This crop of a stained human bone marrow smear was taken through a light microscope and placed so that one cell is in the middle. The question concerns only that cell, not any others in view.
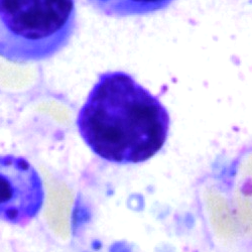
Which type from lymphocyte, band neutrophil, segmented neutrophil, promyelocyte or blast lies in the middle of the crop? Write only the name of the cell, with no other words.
lymphocyte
